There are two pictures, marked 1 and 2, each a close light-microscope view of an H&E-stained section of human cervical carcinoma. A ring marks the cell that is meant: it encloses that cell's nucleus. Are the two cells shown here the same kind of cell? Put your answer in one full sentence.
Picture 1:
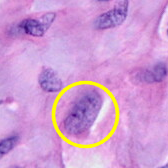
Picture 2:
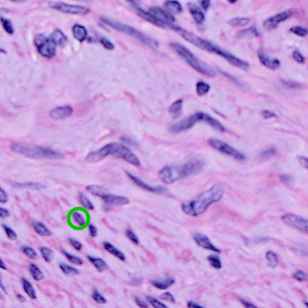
No, they differ: the cell is an endothelial cell in picture 1 and a smooth muscle cell in picture 2.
